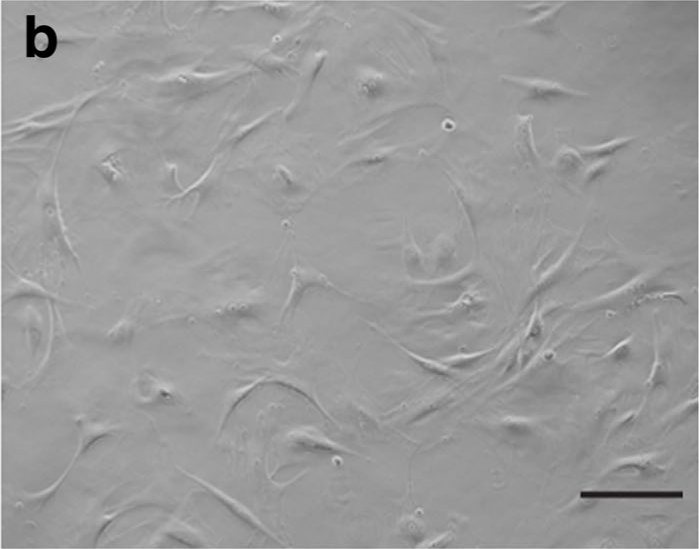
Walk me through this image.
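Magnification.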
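Many are elongated and taper at both ends into slender processes, some long and curving. Others are broader and irregular, with two or three extensions. A few small round bright bodies sit on or beside the cells. Nuclei show only faintly as slightly raised oval areas within the cell bodies. No dense colonies or layers have formed.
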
